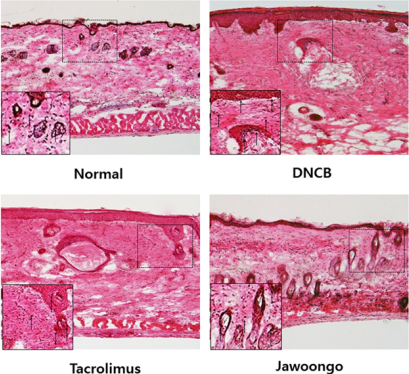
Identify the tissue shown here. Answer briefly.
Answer: skin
